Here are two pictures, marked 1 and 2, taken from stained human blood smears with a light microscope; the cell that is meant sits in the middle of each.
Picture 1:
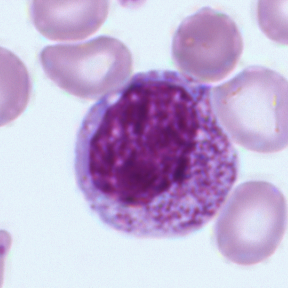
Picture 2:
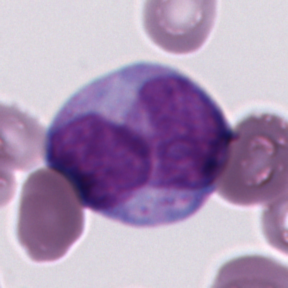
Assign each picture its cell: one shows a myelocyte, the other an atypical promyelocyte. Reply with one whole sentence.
Picture 1 shows a myelocyte and picture 2 shows an atypical promyelocyte.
